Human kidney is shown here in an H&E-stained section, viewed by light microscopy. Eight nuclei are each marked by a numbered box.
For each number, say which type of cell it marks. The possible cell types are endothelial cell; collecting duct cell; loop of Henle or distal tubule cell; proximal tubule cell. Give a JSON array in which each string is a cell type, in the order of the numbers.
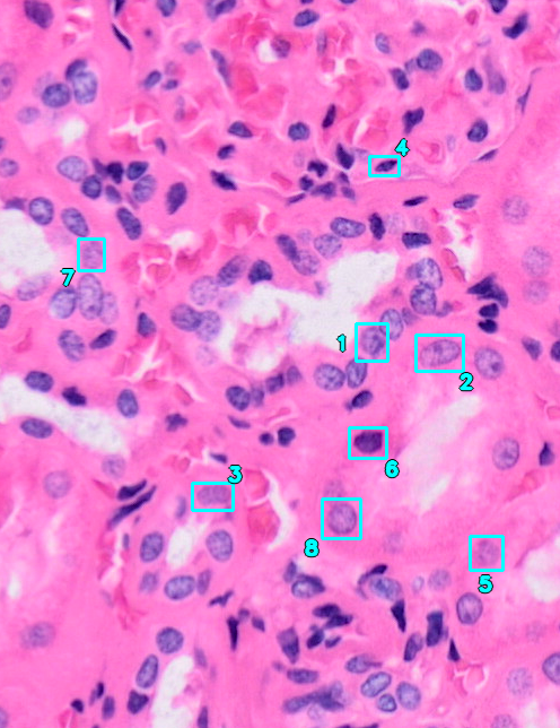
["collecting duct cell", "proximal tubule cell", "collecting duct cell", "endothelial cell", "proximal tubule cell", "proximal tubule cell", "collecting duct cell", "proximal tubule cell"]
